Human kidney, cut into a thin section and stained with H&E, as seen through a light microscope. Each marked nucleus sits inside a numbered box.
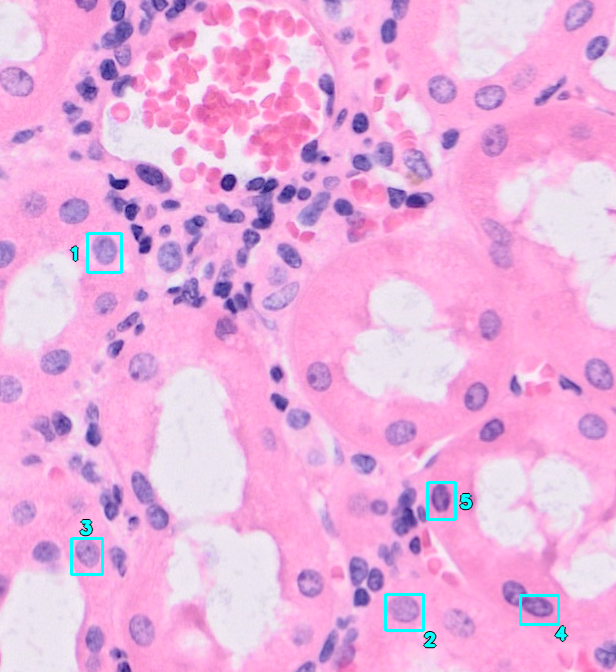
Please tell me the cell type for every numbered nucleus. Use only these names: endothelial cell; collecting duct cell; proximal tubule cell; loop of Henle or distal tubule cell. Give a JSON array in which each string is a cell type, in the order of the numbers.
["loop of Henle or distal tubule cell", "proximal tubule cell", "loop of Henle or distal tubule cell", "proximal tubule cell", "proximal tubule cell"]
